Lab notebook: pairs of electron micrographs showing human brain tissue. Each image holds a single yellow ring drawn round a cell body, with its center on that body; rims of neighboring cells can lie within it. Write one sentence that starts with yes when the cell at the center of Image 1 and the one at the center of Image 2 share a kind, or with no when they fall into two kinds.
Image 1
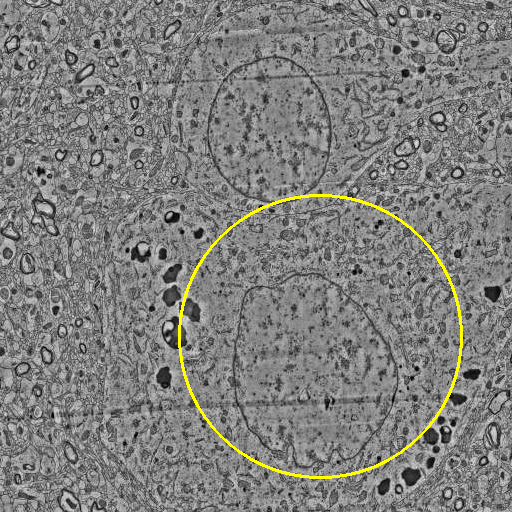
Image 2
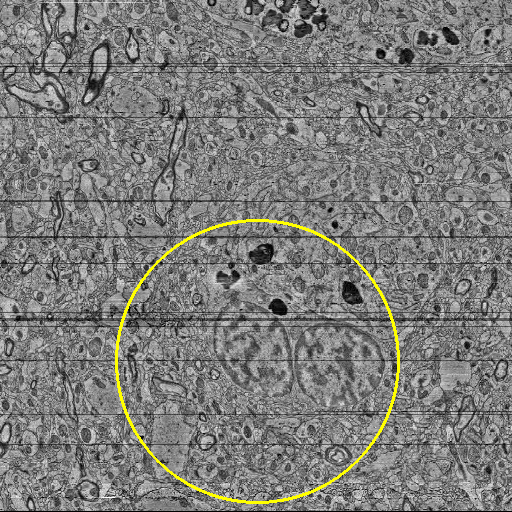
No, the centered cell in Image 1 and the centered cell in Image 2 are of two kinds.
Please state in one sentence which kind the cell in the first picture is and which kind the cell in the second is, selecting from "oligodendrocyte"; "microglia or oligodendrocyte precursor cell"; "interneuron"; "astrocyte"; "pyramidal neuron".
The first ringed cell is a pyramidal neuron, the second ringed cell an oligodendrocyte.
